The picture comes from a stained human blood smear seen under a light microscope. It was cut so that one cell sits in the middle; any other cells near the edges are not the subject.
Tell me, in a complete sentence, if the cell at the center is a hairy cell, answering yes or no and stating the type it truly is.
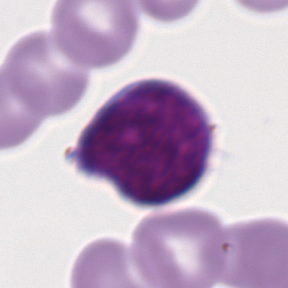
No, the cell sitting in the middle is a myeloblast, and it is not a hairy cell.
